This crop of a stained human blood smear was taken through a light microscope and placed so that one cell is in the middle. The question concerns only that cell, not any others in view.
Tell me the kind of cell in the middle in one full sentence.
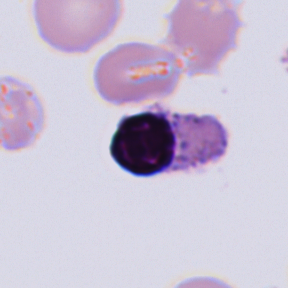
The center cell of this crop is an erythroblast.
